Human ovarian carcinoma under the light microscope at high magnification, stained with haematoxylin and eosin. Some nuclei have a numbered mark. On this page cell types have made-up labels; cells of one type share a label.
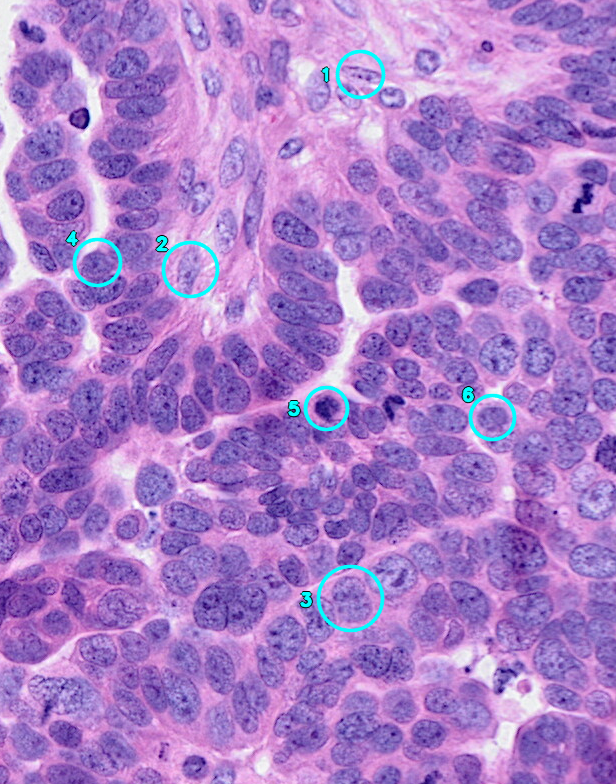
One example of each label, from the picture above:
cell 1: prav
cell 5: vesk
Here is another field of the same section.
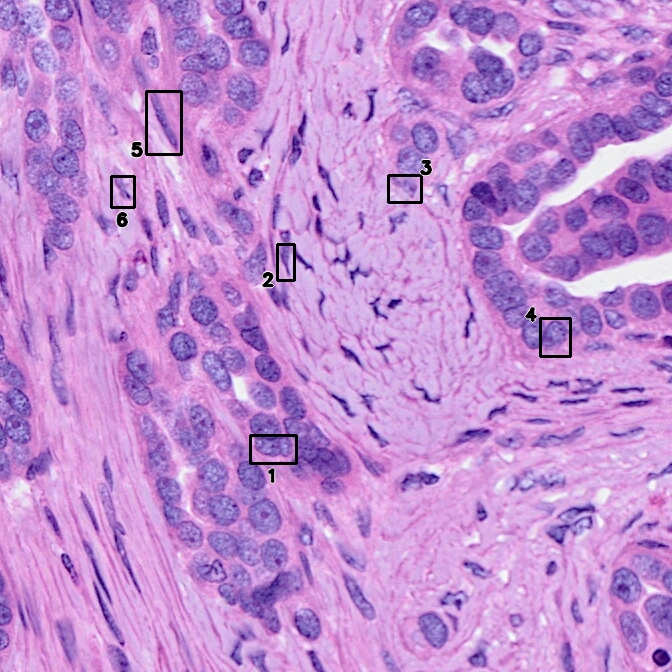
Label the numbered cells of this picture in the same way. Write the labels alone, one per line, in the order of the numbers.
vesk
prav
prav
vesk
prav
prav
